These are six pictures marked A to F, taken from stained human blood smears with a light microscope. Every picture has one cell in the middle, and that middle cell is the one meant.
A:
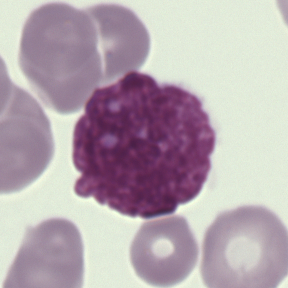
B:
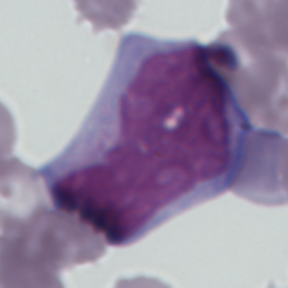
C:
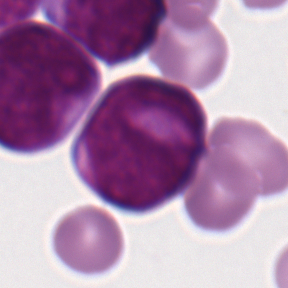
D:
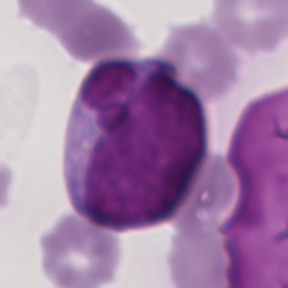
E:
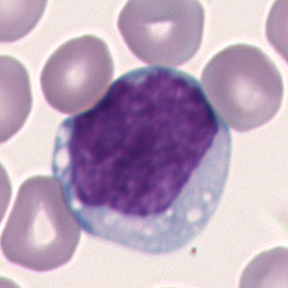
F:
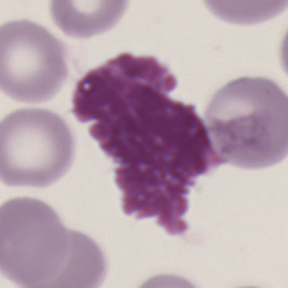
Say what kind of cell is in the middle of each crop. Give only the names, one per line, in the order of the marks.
smudge cell
myeloblast
myeloblast
myeloblast
myeloblast
smudge cell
